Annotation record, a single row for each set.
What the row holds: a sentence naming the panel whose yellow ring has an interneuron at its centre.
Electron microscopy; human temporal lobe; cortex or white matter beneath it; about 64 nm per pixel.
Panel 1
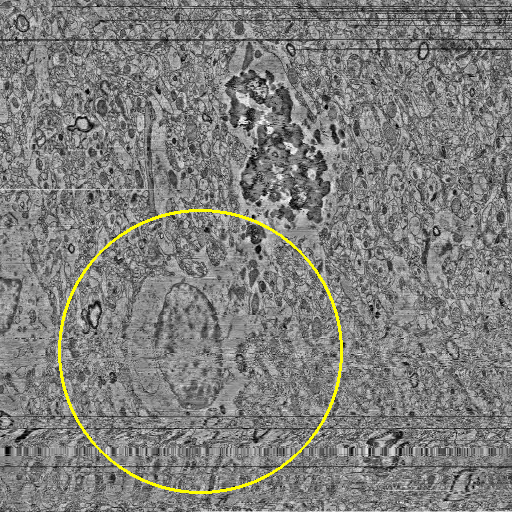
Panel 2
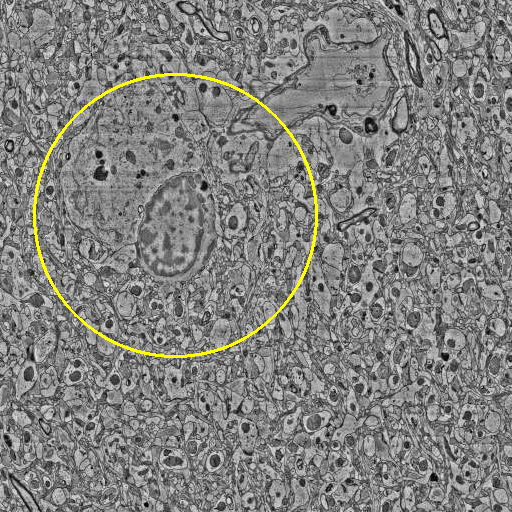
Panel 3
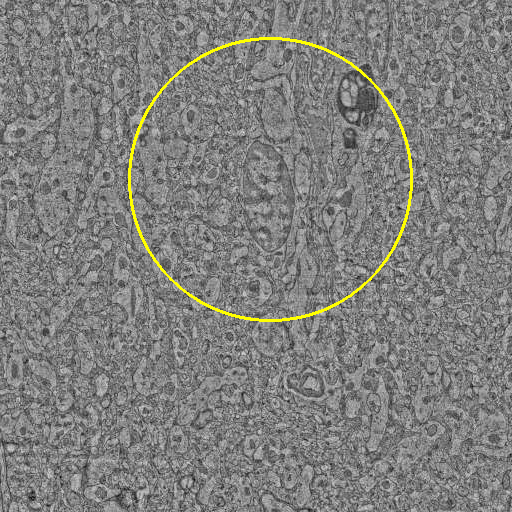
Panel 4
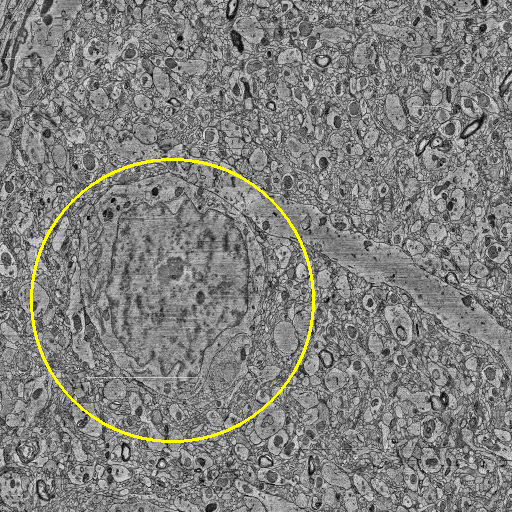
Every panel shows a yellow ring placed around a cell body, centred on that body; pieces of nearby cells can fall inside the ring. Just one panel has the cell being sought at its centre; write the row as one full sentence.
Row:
In panel 4, the cell at the middle of the yellow ring is the one sought.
